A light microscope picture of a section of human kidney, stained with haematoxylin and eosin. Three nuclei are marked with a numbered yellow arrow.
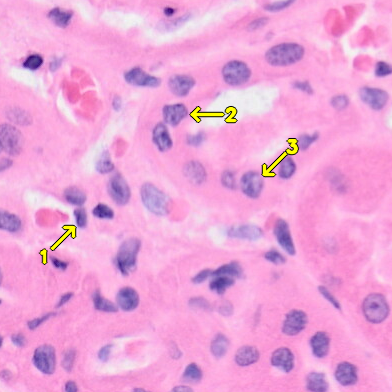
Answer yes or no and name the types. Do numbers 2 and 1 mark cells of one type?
No, cell 2 is a collecting duct cell and cell 1 is an endothelial cell.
